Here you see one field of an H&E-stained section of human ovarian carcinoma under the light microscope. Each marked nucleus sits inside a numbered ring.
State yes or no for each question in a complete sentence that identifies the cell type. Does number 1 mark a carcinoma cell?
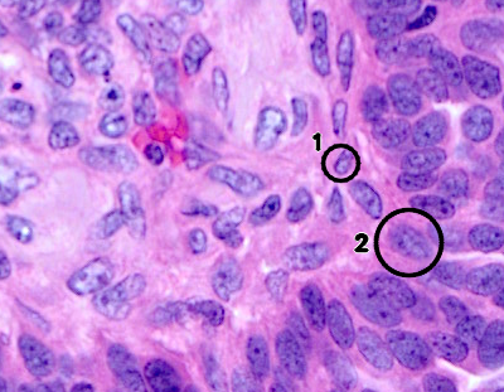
No, cell 1 should be classed as a fibroblast, not as a carcinoma cell.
